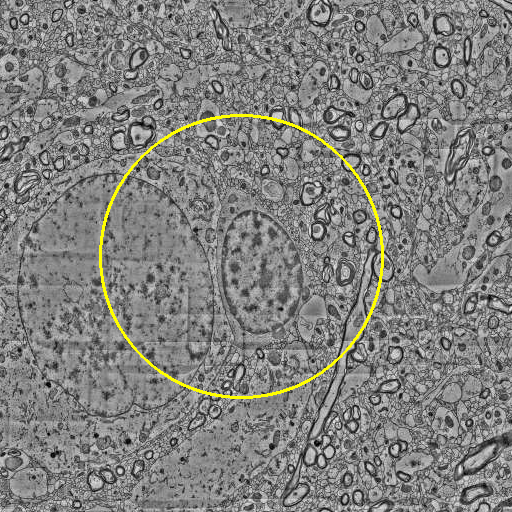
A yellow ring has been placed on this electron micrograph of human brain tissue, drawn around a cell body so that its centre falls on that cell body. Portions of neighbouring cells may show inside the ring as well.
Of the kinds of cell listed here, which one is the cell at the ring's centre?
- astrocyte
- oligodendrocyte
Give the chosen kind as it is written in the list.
oligodendrocyte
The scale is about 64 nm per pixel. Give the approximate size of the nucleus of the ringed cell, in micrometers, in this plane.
The nucleus is approximately 8 micrometres long but only about 5 wide, clearly longer than it is wide in this plane.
